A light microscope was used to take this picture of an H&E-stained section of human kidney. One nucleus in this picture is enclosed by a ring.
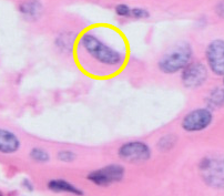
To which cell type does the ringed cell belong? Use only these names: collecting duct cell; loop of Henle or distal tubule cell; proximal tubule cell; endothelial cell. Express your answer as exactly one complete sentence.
For the purposes of cell typing, the ringed cell is categorized as a collecting duct cell.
